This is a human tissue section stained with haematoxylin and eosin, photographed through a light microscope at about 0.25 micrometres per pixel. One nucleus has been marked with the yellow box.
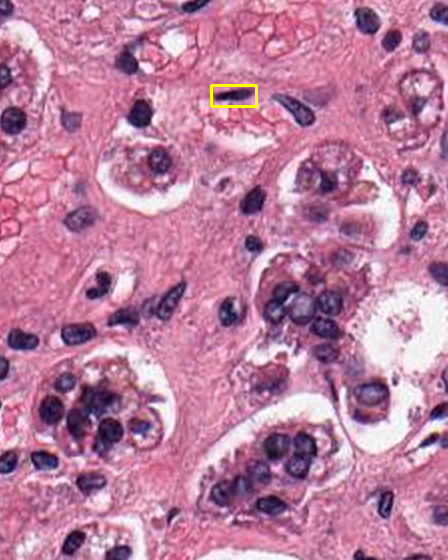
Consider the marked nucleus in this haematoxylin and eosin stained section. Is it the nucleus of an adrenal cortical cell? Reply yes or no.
no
